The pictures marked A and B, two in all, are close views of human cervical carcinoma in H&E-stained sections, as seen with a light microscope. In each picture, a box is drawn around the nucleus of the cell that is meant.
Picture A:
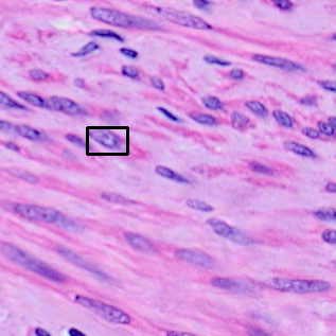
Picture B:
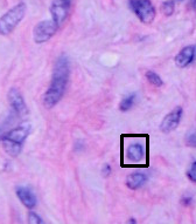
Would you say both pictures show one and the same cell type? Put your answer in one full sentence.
Yes, both are smooth muscle cells.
